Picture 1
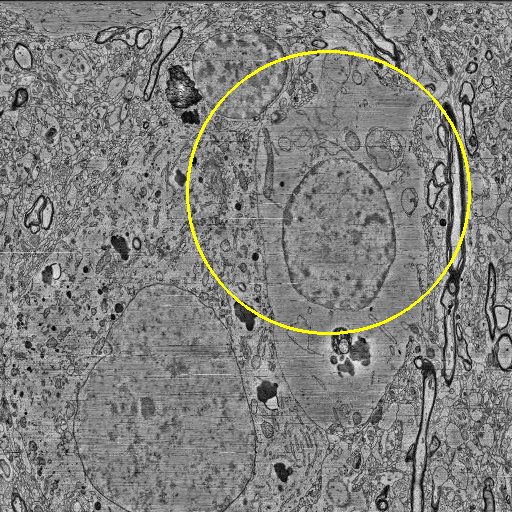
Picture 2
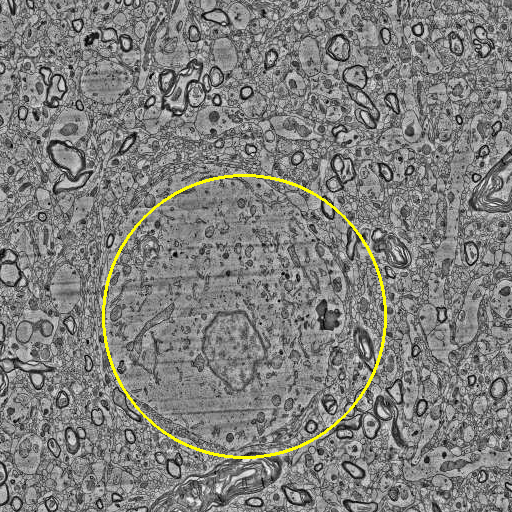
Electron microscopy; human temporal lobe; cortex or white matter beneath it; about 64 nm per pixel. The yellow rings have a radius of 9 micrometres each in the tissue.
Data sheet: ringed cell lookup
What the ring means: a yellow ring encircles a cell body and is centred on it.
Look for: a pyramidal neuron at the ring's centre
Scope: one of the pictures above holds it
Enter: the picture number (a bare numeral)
2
